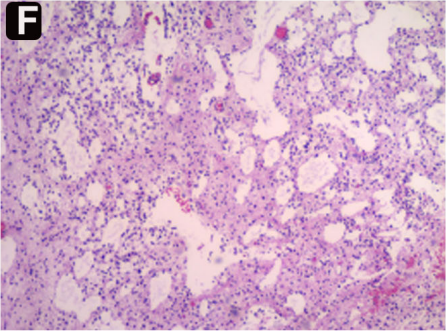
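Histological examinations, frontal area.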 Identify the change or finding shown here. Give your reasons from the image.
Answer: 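Many clear, empty rounded spaces are scattered through the tissue. Cells lie loosely between the spaces, at low density. That points to this answer: microcyst formation.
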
